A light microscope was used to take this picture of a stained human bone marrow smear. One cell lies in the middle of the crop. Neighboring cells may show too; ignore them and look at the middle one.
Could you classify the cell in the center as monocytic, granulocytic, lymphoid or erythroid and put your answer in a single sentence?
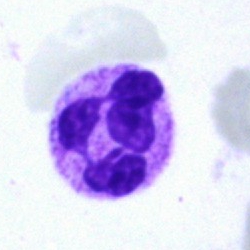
Regarding its lineage, the centered cell is granulocytic.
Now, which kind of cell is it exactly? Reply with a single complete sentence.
Classified as a segmented neutrophil is the cell in the middle of this crop.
